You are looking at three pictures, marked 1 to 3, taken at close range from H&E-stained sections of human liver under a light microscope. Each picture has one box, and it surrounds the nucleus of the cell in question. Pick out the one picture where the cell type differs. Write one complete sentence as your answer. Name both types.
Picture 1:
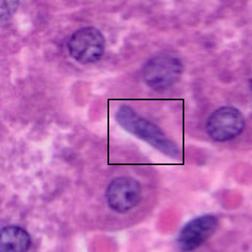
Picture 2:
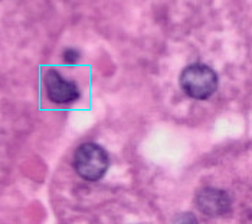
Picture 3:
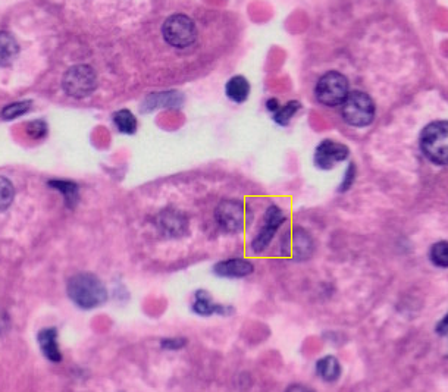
Picture 3 differs, because its cell is a “fibroblast or stellate cell” and the rest are Kupffer cells.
